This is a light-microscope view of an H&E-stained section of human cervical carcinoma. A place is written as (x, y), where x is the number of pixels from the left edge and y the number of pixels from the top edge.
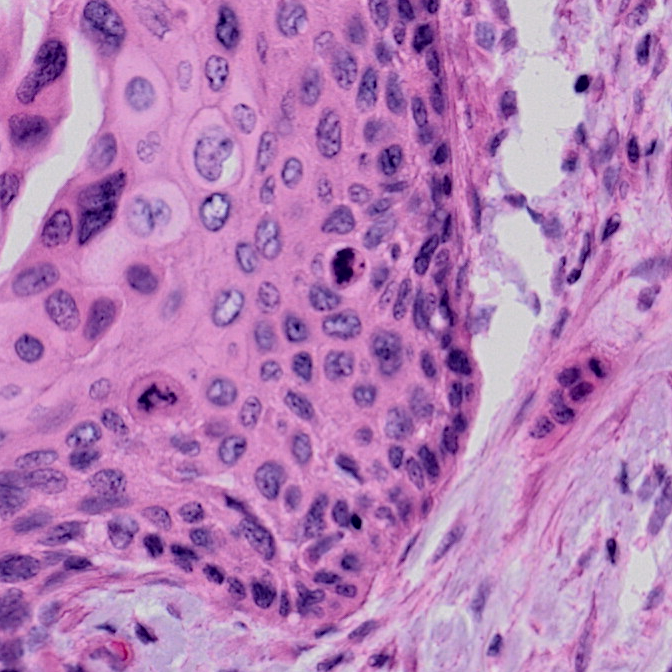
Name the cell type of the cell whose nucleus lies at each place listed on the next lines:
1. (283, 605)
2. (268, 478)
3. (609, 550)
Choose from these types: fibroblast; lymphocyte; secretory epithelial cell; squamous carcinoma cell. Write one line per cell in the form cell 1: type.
cell 1: squamous carcinoma cell
cell 2: squamous carcinoma cell
cell 3: lymphocyte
